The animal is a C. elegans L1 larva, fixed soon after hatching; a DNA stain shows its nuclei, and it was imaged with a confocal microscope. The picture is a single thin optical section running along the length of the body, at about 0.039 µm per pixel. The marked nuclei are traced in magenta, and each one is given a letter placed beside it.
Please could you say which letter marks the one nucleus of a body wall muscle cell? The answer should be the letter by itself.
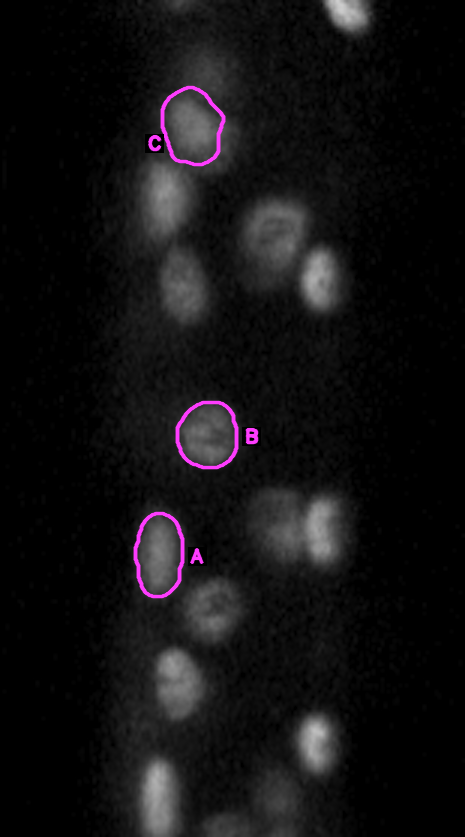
A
